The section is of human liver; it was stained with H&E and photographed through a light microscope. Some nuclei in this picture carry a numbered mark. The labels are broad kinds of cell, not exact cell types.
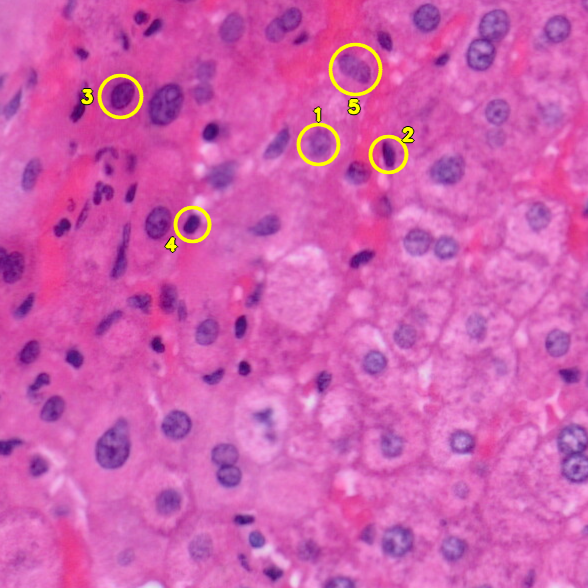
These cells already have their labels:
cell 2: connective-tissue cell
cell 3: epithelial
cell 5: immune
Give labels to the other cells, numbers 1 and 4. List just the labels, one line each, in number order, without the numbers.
epithelial
immune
